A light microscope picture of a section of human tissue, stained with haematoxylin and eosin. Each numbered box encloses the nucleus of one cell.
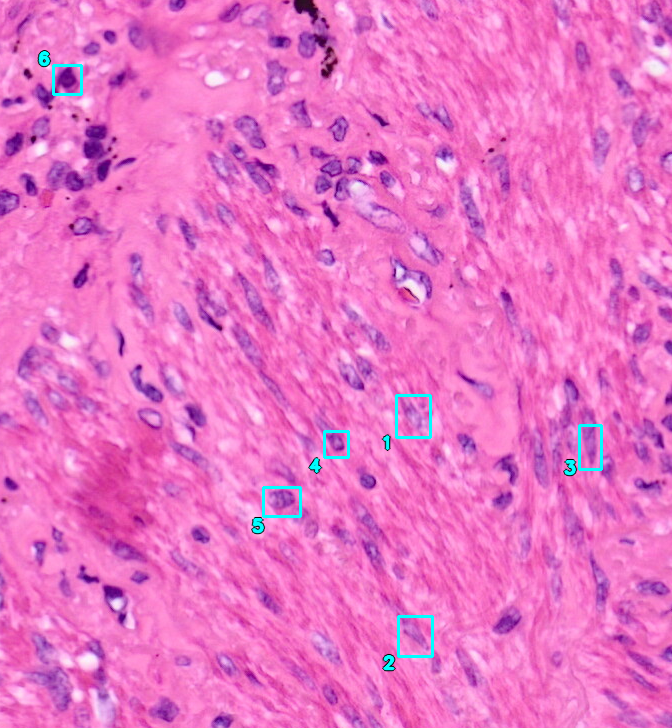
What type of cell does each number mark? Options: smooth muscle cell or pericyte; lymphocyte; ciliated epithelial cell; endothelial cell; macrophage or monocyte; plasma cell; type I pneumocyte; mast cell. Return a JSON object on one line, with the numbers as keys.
{"1": "smooth muscle cell or pericyte", "2": "smooth muscle cell or pericyte", "3": "smooth muscle cell or pericyte", "4": "smooth muscle cell or pericyte", "5": "mast cell", "6": "plasma cell"}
